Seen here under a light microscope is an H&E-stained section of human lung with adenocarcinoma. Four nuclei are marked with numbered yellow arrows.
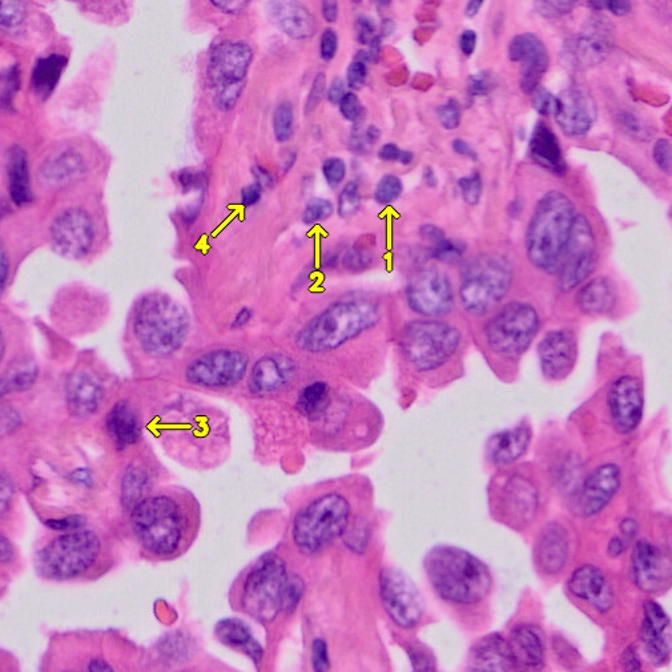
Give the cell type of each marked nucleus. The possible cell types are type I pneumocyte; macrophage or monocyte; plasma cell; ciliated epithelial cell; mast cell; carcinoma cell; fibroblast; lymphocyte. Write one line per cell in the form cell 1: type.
cell 1: lymphocyte
cell 2: lymphocyte
cell 3: carcinoma cell
cell 4: lymphocyte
